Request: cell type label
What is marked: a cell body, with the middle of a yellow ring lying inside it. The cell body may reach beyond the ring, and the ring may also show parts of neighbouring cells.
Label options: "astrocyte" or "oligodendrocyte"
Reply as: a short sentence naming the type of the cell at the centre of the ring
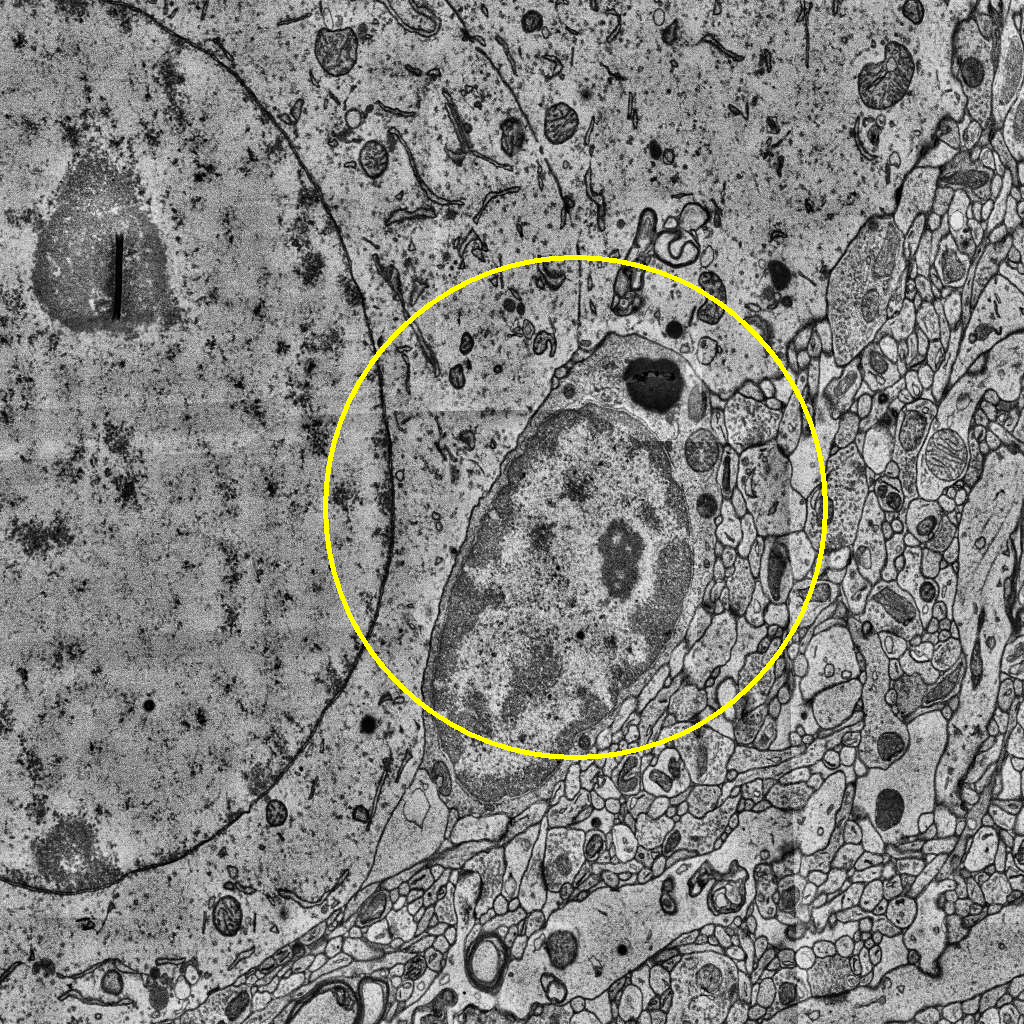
The marked cell body is that of an oligodendrocyte.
